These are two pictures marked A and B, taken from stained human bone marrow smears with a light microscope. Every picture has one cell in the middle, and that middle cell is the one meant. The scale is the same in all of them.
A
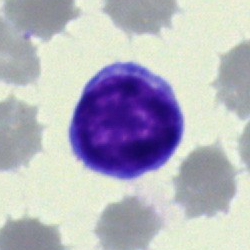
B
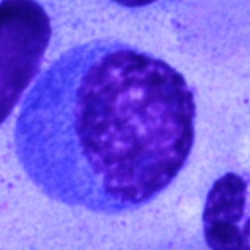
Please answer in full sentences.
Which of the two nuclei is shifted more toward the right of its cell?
In picture B the nucleus is shifted more toward the right.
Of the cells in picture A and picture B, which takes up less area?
It is the cell in picture A; the cell in picture B has about 2.5 times its area.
